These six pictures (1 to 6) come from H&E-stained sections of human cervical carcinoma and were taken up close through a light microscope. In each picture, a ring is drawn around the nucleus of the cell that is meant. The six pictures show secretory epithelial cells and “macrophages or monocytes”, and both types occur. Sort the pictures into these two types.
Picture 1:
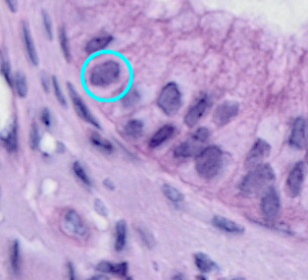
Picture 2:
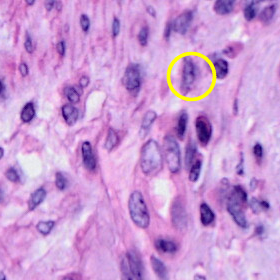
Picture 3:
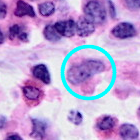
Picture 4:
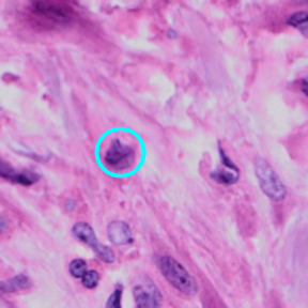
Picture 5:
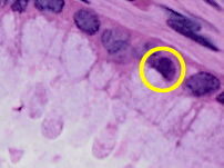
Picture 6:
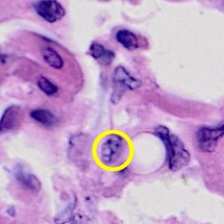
1: secretory epithelial cell
2: macrophage or monocyte
3: macrophage or monocyte
4: macrophage or monocyte
5: secretory epithelial cell
6: macrophage or monocyte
